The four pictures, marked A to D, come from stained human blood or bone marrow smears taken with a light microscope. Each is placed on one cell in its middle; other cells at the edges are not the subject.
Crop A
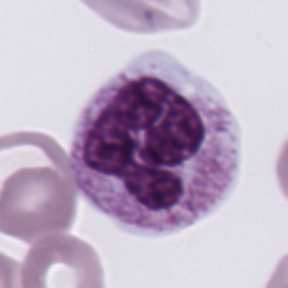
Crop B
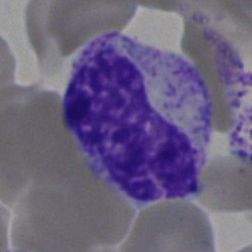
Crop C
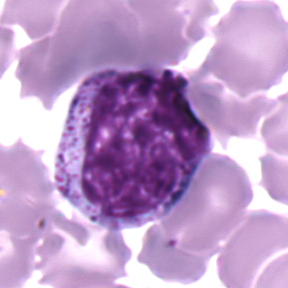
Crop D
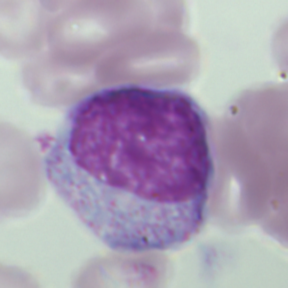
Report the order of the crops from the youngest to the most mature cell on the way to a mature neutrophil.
D, C, B, A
